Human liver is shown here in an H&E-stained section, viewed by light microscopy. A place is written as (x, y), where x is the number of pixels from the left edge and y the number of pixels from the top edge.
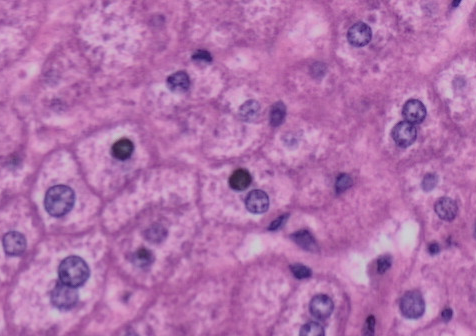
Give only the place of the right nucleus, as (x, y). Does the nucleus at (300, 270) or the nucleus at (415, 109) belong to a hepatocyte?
(415, 109)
